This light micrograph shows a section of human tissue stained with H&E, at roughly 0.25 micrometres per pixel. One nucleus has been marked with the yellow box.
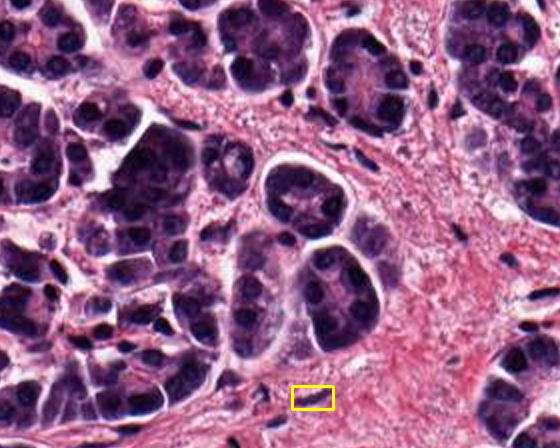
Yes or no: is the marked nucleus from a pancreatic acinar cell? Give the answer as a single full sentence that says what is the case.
No, the marked nucleus is that of a supporting cell instead of a pancreatic acinar cell.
